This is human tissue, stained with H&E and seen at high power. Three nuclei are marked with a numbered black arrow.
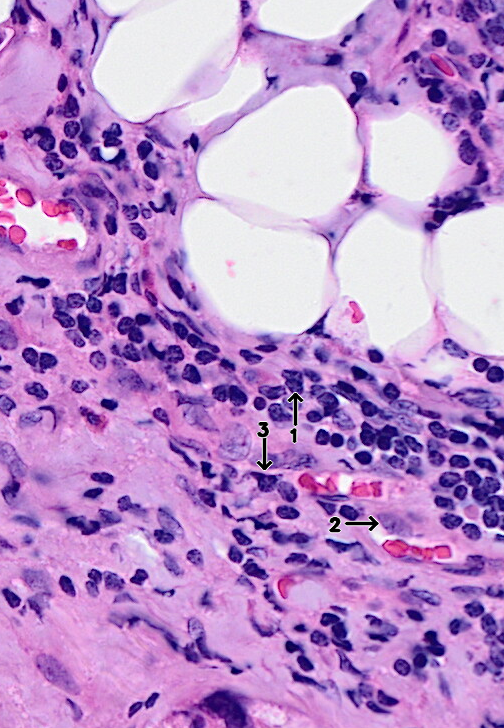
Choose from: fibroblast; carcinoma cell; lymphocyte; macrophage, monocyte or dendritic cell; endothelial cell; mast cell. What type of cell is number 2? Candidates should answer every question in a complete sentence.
The label 2 in this section denotes an endothelial cell.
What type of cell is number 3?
Heads up, the cell numbered 3 is a lymphocyte.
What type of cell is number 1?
The one labeled 1 is a lymphocyte, to put it simply.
